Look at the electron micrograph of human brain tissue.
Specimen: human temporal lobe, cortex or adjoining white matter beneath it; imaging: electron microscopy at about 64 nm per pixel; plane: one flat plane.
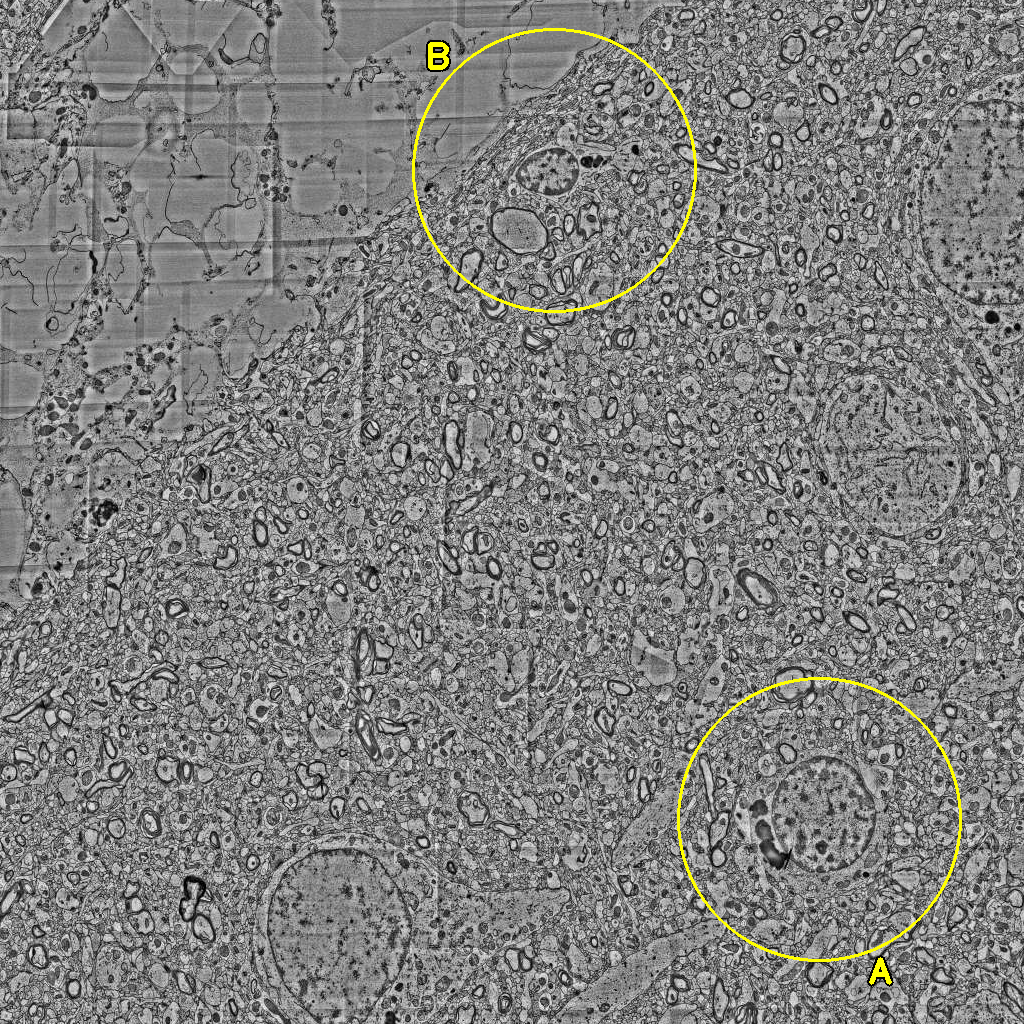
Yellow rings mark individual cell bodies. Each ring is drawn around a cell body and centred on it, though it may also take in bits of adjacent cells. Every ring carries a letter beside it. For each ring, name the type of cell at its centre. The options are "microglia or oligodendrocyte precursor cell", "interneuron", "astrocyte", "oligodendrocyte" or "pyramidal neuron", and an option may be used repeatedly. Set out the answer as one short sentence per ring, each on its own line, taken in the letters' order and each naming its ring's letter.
Ring A is drawn around an oligodendrocyte.
Ring B is drawn around a microglial cell or oligodendrocyte precursor cell.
